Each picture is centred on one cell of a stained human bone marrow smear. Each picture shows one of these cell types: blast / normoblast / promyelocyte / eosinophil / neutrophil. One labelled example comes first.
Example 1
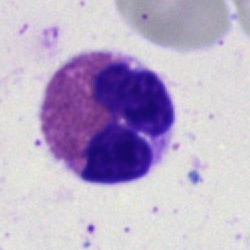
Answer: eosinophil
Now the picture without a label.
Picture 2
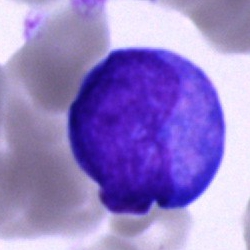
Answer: blast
